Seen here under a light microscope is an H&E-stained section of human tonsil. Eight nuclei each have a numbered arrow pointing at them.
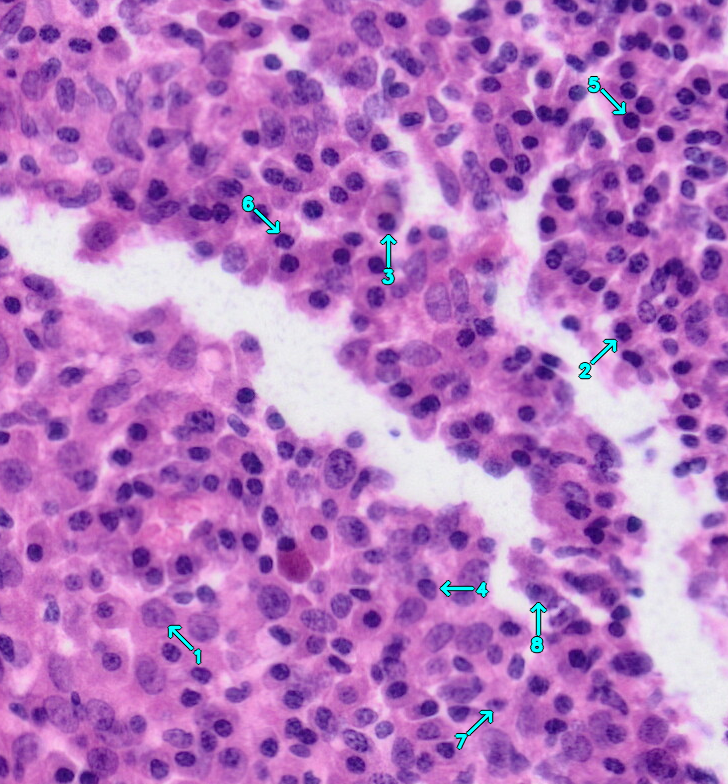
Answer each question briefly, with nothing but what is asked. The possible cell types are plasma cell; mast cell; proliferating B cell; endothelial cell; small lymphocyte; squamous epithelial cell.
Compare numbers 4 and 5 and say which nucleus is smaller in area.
5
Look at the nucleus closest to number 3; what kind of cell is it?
squamous epithelial cell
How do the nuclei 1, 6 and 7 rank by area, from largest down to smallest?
1, 6, 7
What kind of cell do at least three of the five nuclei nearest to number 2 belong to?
plasma cell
